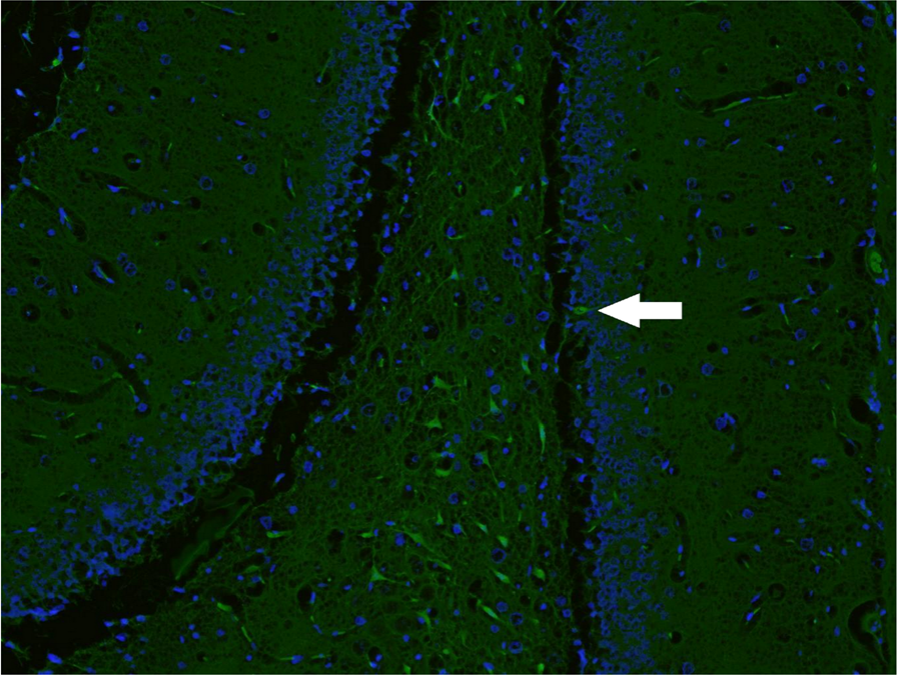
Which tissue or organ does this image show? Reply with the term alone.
Dentate gyrus.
